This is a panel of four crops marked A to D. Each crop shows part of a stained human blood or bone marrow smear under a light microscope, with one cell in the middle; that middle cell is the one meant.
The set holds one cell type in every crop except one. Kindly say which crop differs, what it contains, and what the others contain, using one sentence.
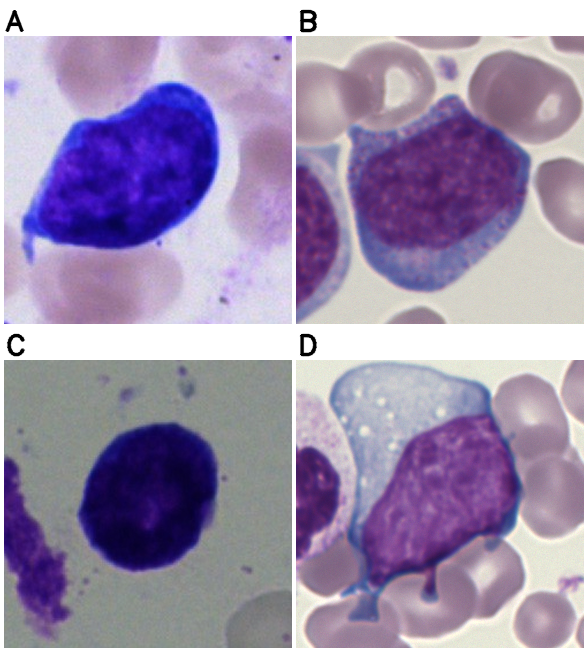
A different cell type, a promyelocyte, occupies crop B; the other crops show blasts.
